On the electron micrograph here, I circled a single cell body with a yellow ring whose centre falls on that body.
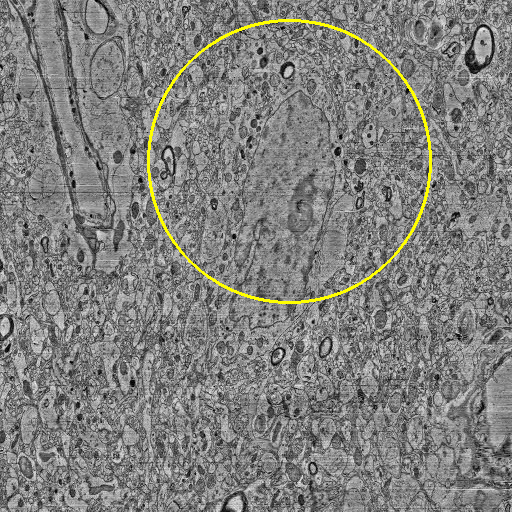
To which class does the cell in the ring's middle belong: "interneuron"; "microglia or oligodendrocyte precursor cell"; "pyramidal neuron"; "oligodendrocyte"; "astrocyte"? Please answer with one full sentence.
In this picture, the cell body circled at the ring's centre belongs to an interneuron.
